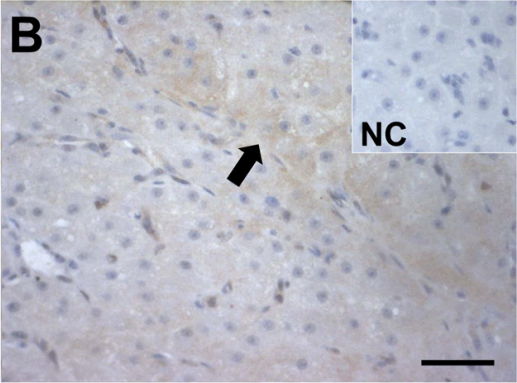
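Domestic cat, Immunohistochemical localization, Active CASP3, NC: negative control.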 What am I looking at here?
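This is luteal tissue made of large polygonal luteal cells packed in sheets, with abundant finely granular cytoplasm and round, centrally placed nuclei with blue counterstain. Their cytoplasm shows a diffuse light brown stain that is stronger in some areas than others. Between the luteal cells run slender, elongated cells with spindle-shaped nuclei, some of which also appear brown, and a small vessel-like clear space is visible at the left. The inset shows similar cells without brown stain, only blue nuclei and pale cytoplasm.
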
